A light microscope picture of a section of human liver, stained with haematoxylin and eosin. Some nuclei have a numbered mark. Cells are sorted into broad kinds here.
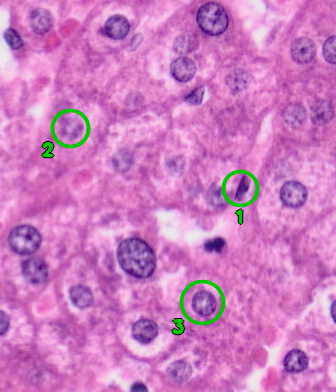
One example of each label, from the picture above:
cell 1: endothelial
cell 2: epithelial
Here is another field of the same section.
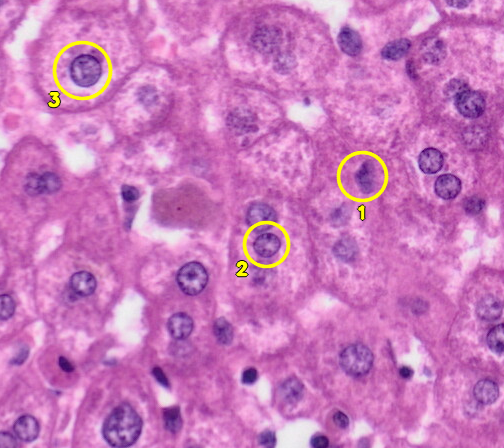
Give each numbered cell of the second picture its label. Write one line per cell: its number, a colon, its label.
1: endothelial
2: epithelial
3: epithelial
